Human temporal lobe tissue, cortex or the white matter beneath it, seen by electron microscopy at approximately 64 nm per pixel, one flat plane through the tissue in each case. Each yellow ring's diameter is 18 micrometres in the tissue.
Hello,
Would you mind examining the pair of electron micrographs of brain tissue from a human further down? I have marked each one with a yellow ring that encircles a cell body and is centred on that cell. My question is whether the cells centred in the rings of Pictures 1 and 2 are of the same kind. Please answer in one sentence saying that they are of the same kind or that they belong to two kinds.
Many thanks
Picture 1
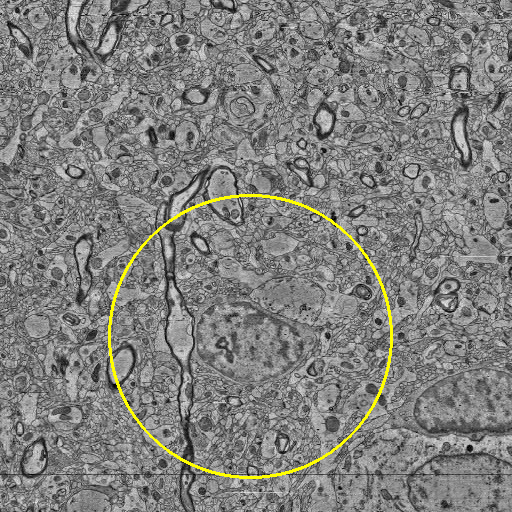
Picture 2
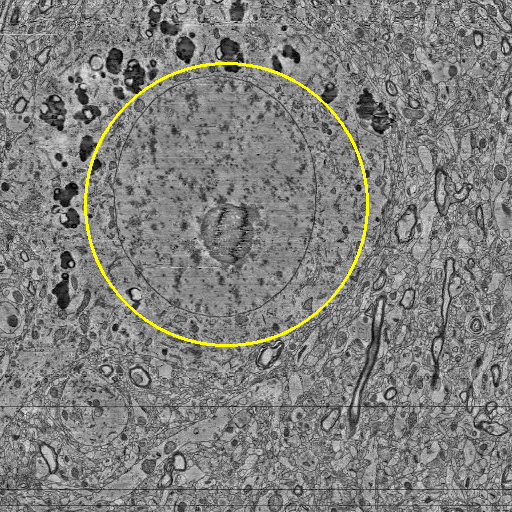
In Pictures 1 and 2, the cells at the heart of the rings belong to two kinds.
